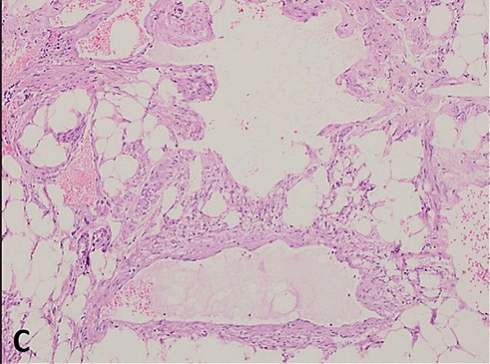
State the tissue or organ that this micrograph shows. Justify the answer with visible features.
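Many large round empty clear spaces with thin walls fill the surroundings. Irregular vascular spaces lie among these clear spaces.
Answer: adipose tissue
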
